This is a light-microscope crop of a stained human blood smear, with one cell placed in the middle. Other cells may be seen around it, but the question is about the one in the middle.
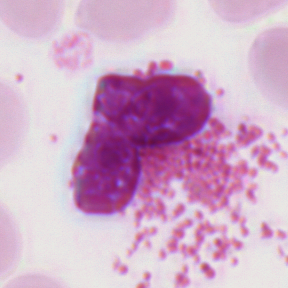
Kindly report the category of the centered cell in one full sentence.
Within this crop, an eosinophil occupies the central position.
